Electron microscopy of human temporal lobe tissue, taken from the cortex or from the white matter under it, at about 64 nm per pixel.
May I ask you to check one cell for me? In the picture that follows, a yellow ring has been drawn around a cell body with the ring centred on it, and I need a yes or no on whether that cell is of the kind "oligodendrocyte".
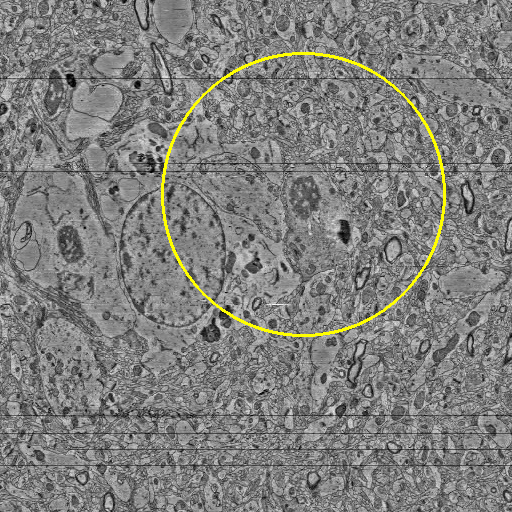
Yes, it is that kind of cell.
